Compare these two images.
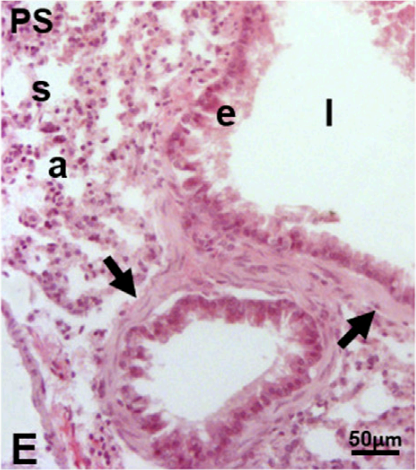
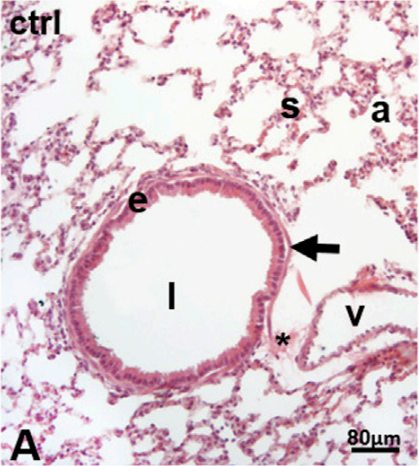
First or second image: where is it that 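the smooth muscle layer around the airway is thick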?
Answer: The first image.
